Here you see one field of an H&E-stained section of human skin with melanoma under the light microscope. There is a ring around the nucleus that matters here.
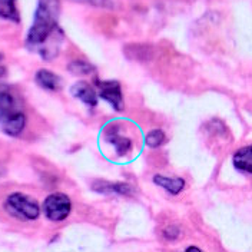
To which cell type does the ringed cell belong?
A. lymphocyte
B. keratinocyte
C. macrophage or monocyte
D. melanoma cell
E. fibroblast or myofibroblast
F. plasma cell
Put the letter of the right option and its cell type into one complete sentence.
Option E is correct; the ringed cell is a fibroblast or myofibroblast.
